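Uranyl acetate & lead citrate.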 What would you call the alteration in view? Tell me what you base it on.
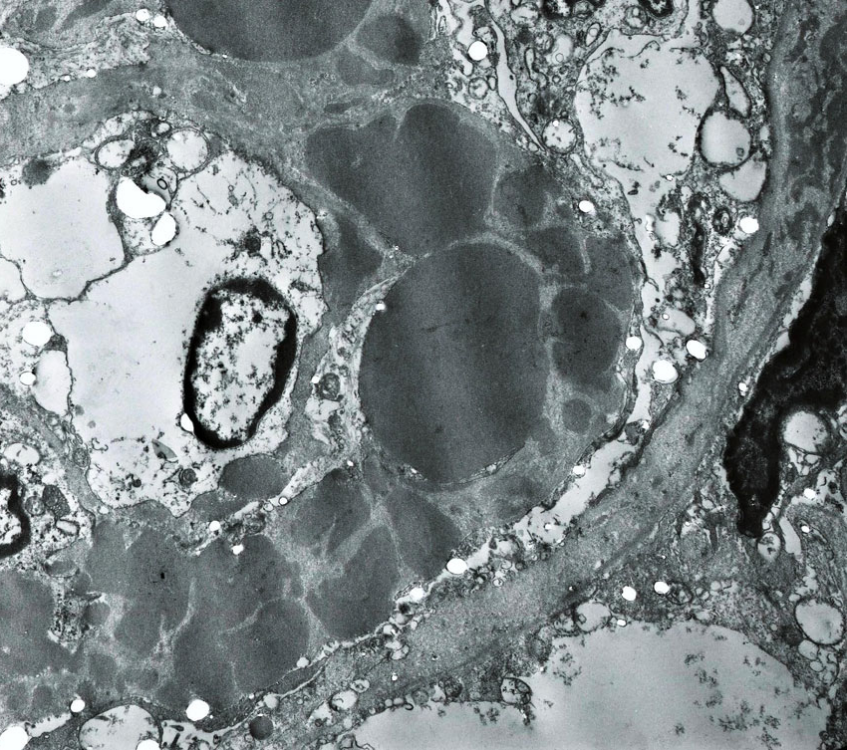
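Large, homogeneous dark masses fill much of the centre of the image. The masses are rounded and vary in size. Neighbouring masses merge into one another. That points to this answer: electron dense deposits.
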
